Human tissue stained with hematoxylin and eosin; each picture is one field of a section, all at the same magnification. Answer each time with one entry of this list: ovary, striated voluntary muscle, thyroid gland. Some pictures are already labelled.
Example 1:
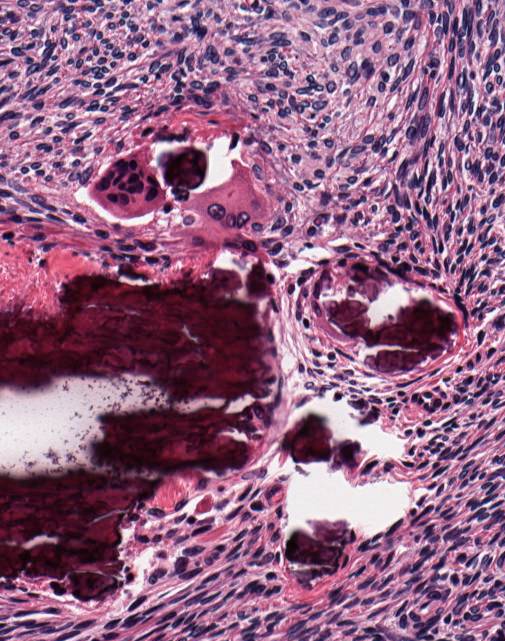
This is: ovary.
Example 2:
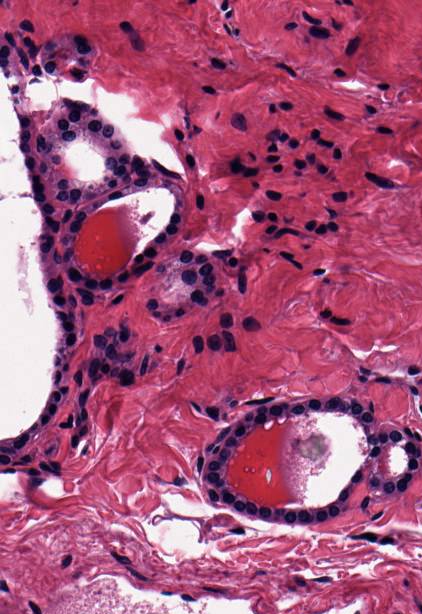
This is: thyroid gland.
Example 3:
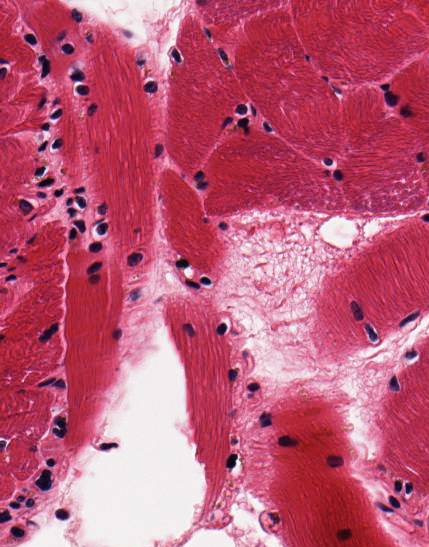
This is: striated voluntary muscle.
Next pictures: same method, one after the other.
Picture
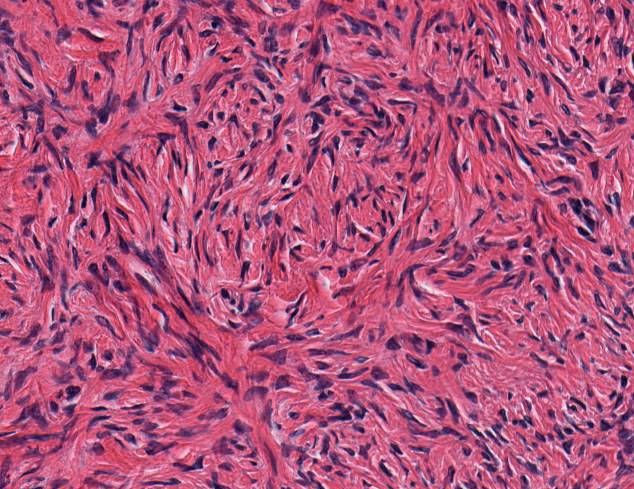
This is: ovary.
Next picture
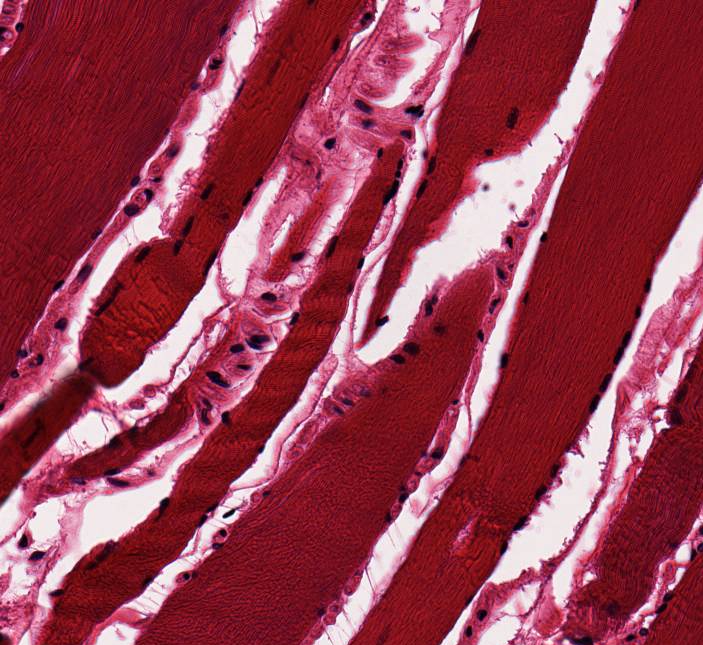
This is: striated voluntary muscle.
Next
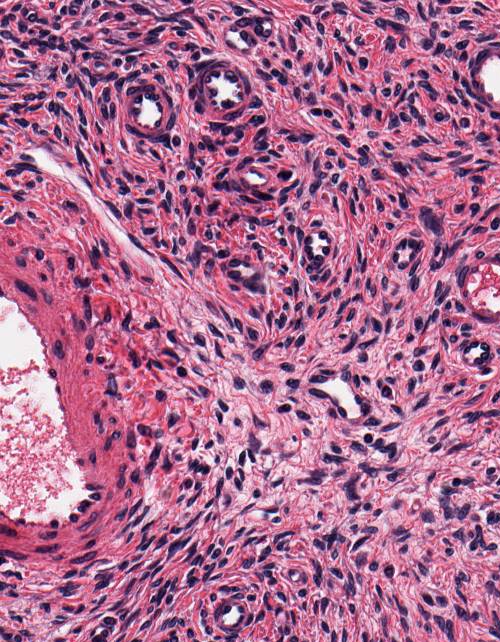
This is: ovary.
